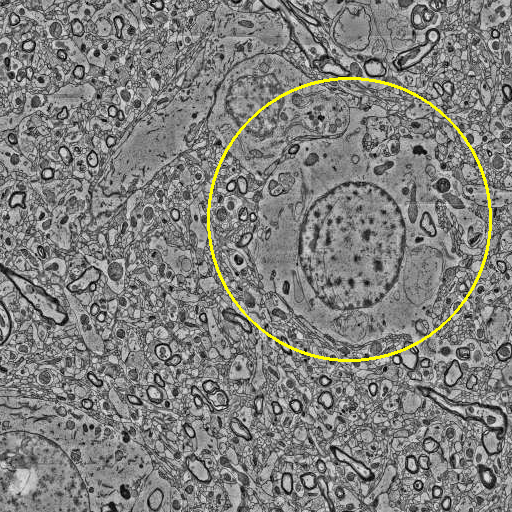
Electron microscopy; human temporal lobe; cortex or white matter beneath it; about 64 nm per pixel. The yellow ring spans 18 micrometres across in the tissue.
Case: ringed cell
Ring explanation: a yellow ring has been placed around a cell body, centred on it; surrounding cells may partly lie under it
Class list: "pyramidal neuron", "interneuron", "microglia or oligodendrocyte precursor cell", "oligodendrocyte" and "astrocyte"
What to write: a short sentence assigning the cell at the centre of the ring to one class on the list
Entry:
The cell at the ring's centre is an astrocyte.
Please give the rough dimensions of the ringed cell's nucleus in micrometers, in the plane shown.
The nucleus of the ringed cell is approximately 8 by 7 micrometres in this plane.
